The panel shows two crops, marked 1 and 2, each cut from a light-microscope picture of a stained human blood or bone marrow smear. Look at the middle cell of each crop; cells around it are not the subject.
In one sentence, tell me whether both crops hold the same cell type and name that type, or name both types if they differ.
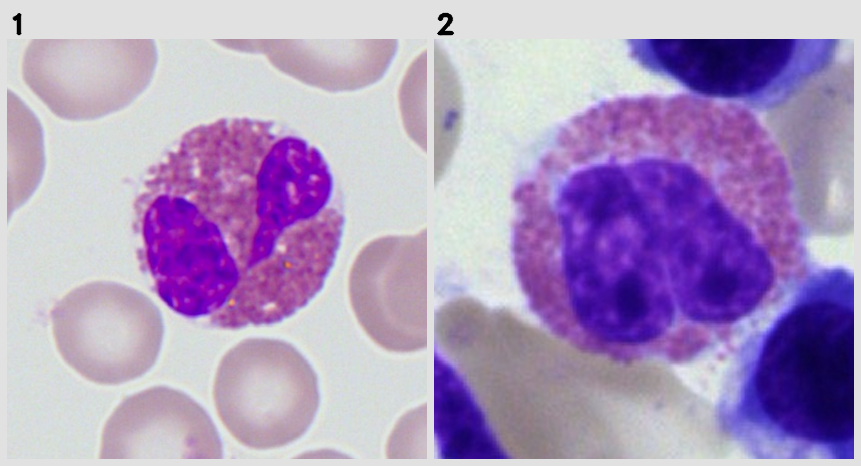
Yes, both crops show eosinophils, and that holds for each one.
